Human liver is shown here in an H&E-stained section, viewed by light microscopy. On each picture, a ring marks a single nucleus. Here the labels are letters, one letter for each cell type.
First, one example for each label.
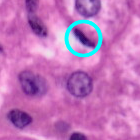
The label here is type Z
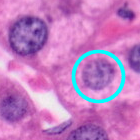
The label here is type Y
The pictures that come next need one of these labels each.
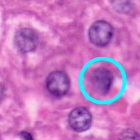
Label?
type Z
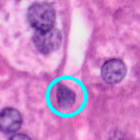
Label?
type Z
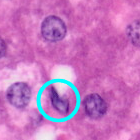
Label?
type Z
